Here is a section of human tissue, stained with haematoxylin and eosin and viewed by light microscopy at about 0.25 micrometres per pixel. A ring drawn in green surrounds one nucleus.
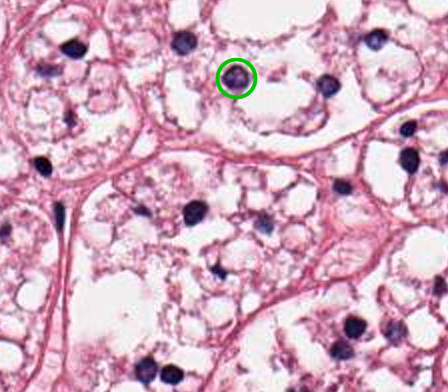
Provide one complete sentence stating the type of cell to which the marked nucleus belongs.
In this image, the nucleus that is marked belongs to an adrenal cortical cell.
